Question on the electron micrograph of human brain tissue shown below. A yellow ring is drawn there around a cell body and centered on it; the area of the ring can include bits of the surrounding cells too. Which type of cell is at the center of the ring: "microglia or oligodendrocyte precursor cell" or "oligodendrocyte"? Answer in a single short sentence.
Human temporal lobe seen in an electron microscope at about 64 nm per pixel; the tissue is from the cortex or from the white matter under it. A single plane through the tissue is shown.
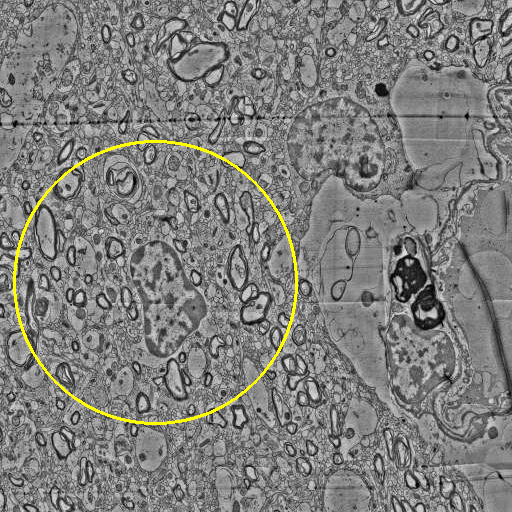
The ring is centered on a microglial cell or oligodendrocyte precursor cell.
